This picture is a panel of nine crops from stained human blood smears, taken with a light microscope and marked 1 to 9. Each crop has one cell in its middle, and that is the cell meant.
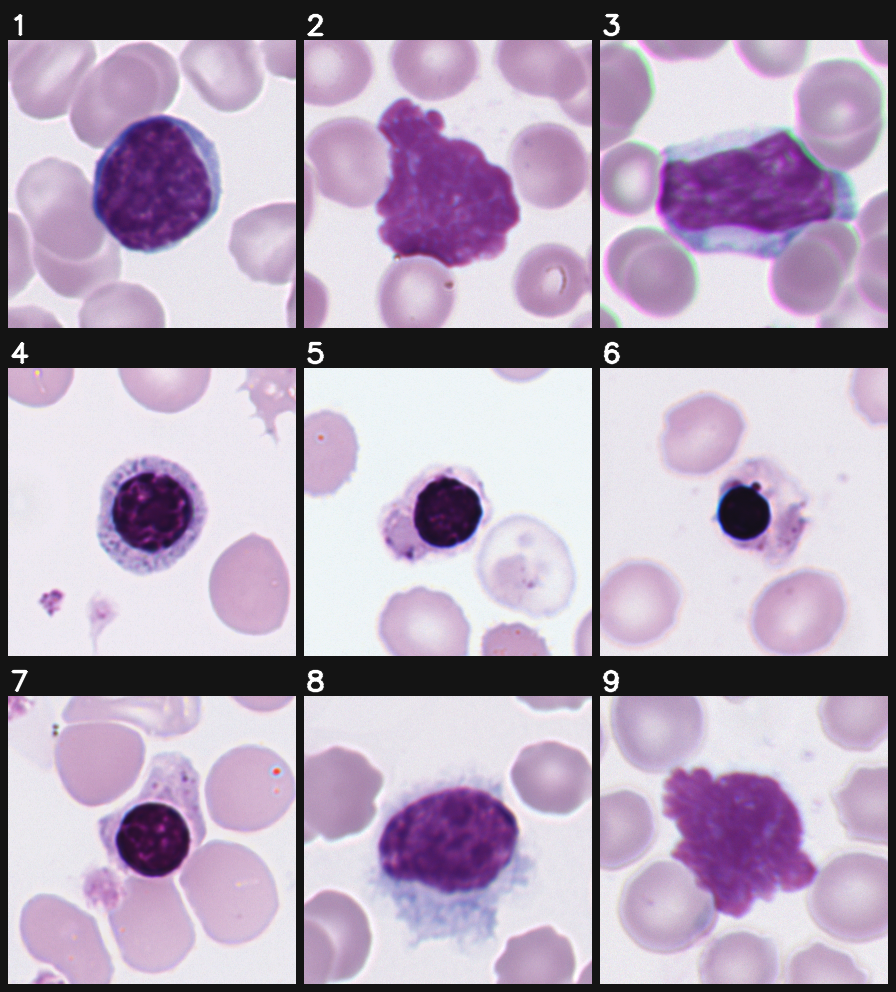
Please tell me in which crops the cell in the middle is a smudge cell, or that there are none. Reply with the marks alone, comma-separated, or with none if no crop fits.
2, 9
